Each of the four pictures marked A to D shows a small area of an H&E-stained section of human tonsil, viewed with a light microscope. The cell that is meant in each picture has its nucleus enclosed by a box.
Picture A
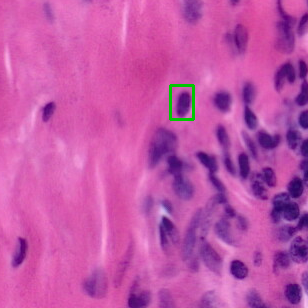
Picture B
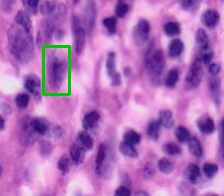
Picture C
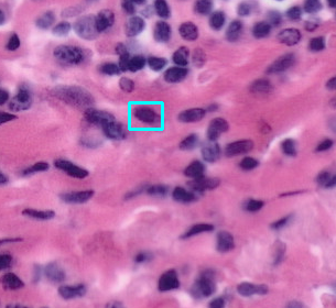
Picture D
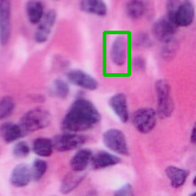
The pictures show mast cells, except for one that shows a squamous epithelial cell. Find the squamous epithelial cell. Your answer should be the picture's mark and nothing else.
B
